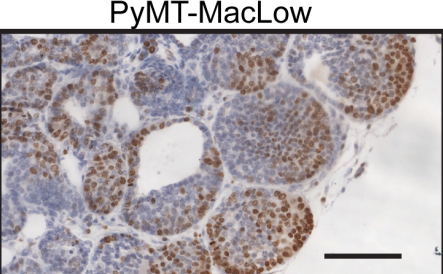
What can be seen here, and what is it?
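Mammary tumor tissue with several large rounded epithelial nests and ducts, one around a wide open lumen, lying in stroma and fat. Nests are densely cellular, with crowded round nuclei; many nuclei are dark brown, especially toward the edges of the nests, while others are blue. Thin fibrous stroma with elongated blue-nucleated cells separates the nests, and adipocytes lie at the margins. Nest borders are smooth and well defined, without single-cell invasion into the stroma.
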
